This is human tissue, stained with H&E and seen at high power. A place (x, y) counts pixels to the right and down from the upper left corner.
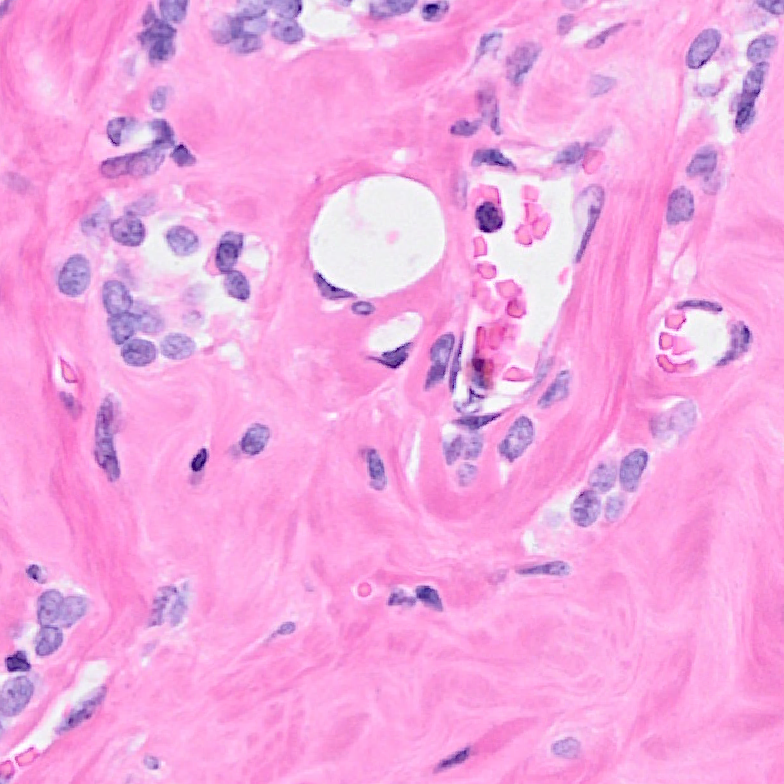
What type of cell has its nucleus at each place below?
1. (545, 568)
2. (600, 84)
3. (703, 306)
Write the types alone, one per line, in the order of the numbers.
fibroblast
fibroblast
endothelial cell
